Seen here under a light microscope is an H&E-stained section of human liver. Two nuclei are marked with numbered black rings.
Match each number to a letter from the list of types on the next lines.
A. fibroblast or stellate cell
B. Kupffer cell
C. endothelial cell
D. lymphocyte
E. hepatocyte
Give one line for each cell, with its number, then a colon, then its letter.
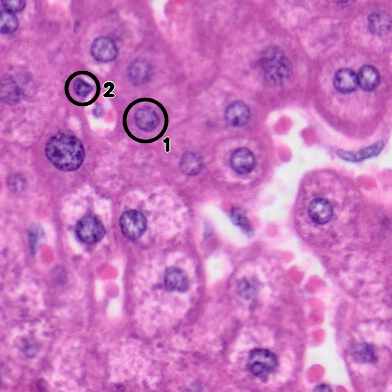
1: E
2: A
